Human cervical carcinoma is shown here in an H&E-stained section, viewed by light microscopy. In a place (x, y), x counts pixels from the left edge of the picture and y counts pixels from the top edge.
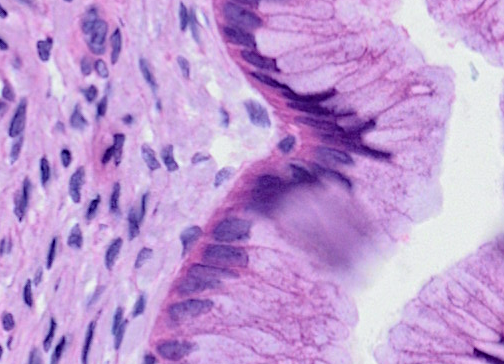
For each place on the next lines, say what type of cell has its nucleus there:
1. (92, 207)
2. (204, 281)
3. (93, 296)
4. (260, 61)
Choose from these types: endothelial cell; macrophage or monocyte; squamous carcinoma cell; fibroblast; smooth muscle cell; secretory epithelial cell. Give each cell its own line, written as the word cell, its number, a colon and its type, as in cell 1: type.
cell 1: fibroblast
cell 2: secretory epithelial cell
cell 3: fibroblast
cell 4: secretory epithelial cell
